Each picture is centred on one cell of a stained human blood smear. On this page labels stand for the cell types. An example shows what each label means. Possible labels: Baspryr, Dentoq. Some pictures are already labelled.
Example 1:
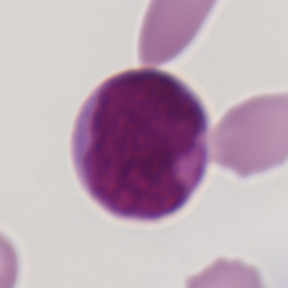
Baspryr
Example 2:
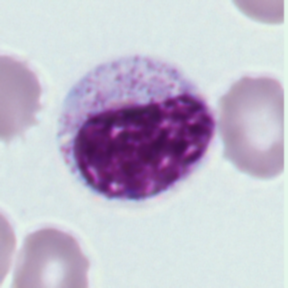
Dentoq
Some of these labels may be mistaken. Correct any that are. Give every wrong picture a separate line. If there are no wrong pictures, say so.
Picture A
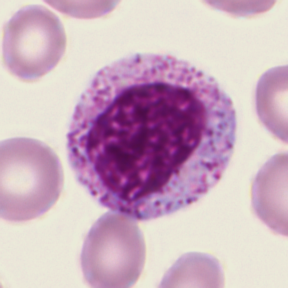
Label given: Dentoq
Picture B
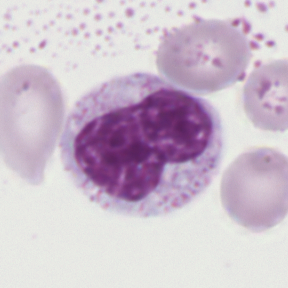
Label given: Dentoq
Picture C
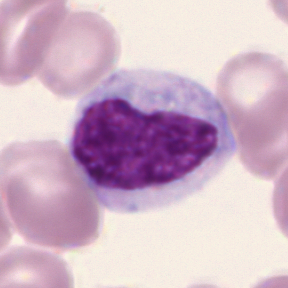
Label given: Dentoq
None of the labels needs changing.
